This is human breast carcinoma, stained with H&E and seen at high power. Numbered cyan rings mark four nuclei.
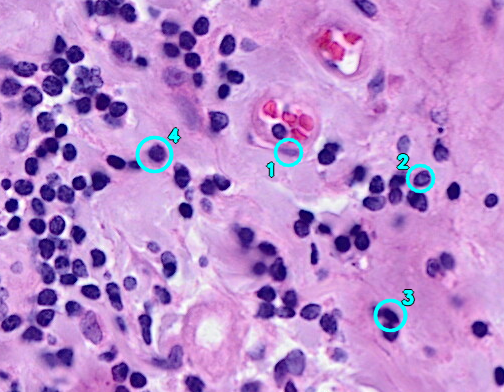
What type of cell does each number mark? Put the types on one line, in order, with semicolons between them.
endothelial cell; lymphocyte; lymphocyte; lymphocyte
